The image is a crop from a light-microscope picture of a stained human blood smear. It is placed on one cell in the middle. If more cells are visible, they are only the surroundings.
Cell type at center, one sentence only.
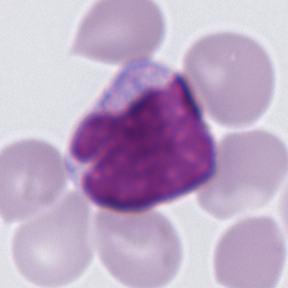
The central cell shown in this smear crop is a large granular lymphocyte.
